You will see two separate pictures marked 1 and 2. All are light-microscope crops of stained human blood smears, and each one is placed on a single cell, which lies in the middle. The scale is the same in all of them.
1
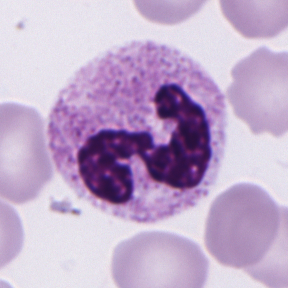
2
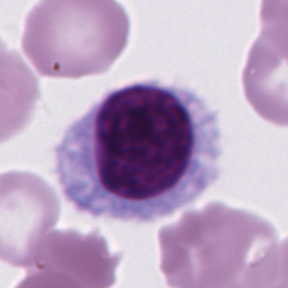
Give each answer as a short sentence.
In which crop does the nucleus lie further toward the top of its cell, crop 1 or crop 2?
In crop 2 the nucleus is shifted more toward the top.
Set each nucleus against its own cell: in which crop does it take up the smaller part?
Of the two, the nucleus in crop 1 leaves more room for cytoplasm.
